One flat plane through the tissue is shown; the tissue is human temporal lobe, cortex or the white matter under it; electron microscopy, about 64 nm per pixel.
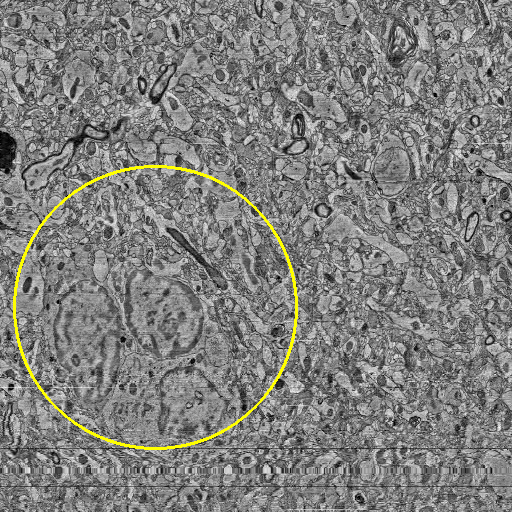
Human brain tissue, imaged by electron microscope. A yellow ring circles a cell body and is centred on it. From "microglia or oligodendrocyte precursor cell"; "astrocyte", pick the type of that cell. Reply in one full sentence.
The cell body at the centre of the yellow ring belongs to a microglial cell or oligodendrocyte precursor cell.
